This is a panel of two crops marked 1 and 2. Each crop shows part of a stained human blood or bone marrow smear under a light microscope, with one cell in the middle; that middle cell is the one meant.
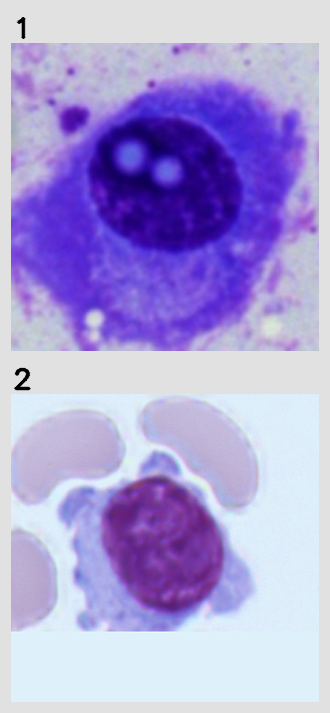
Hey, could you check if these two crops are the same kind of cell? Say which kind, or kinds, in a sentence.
Yes, the two cells in the two crops are plasma cells.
